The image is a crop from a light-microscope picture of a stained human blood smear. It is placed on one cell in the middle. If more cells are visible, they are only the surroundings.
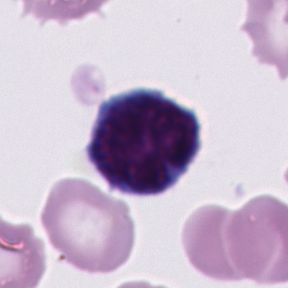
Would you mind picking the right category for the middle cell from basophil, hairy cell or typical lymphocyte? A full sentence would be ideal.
In the crop, the cell of interest at the centre is a typical lymphocyte.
